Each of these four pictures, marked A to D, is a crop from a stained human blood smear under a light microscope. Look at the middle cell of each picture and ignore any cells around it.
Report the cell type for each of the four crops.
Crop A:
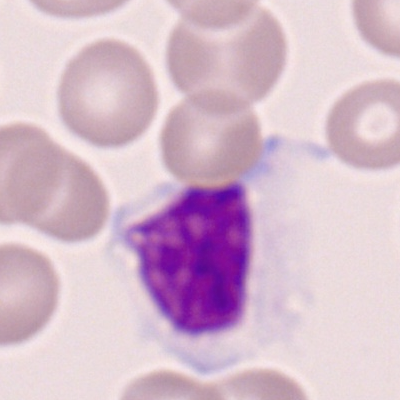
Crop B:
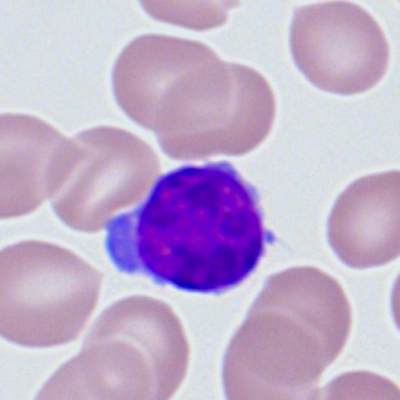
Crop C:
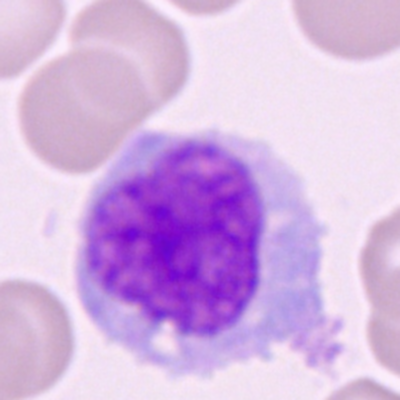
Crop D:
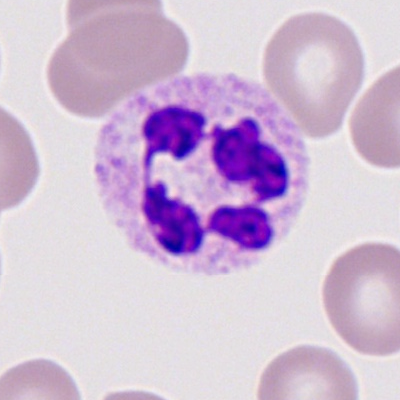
A: lymphocyte
B: lymphocyte
C: monocyte
D: neutrophil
